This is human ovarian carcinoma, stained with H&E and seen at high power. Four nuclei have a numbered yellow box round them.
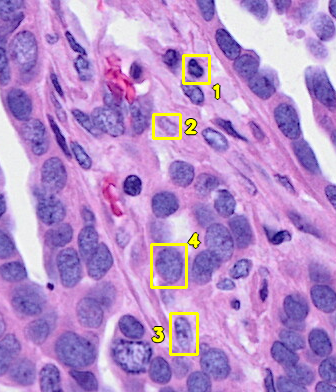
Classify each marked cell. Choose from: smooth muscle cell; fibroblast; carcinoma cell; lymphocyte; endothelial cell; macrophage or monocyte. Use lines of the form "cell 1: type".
cell 1: lymphocyte
cell 2: fibroblast
cell 3: fibroblast
cell 4: carcinoma cell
